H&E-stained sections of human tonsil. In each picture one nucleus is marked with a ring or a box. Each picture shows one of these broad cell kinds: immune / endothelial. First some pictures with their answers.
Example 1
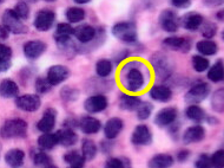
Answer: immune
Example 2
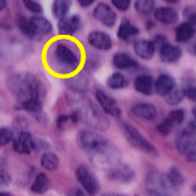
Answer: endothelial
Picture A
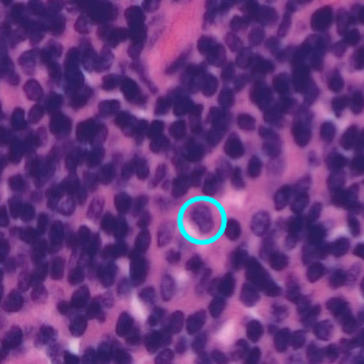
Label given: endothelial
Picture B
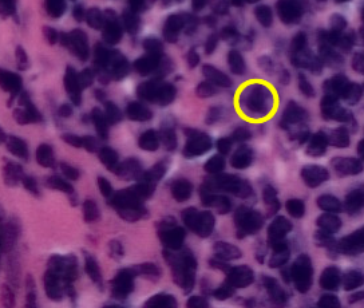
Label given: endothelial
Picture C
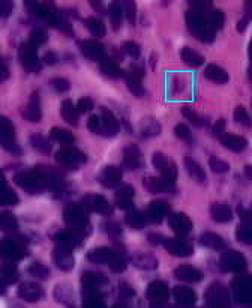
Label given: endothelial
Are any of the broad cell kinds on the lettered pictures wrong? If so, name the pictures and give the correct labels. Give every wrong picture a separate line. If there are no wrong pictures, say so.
No label is wrong.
